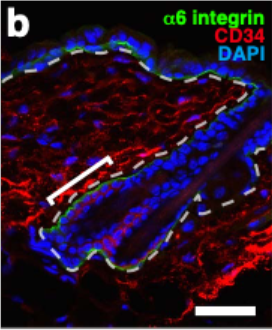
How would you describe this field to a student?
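A section through a hair follicle shows its epithelium, packed with blue nuclei, enclosed by a white dashed line against the surrounding dermis. A thin green line runs along the outer, basal edge of the follicle epithelium. The dermis outside the line is filled with red fibrous and cellular staining with scattered nuclei. A white bracket marks a stretch of the outer epithelial layer of the follicle.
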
